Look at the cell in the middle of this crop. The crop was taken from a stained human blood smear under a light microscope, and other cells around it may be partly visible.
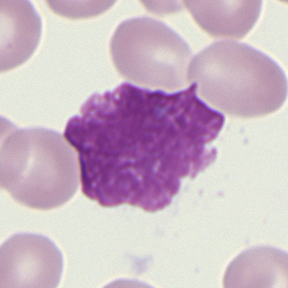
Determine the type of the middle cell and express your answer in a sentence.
Classified as a smudge cell is the cell in the middle of this crop.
